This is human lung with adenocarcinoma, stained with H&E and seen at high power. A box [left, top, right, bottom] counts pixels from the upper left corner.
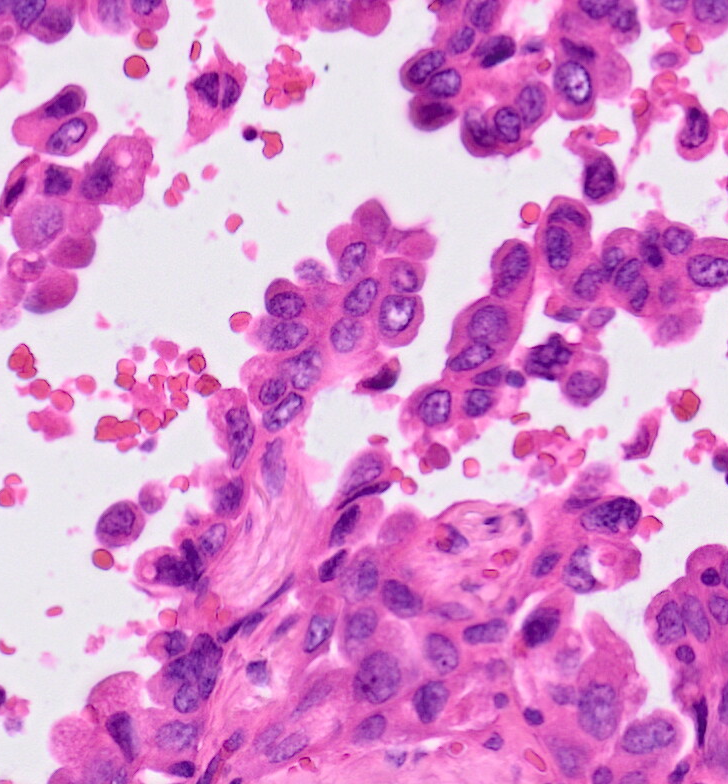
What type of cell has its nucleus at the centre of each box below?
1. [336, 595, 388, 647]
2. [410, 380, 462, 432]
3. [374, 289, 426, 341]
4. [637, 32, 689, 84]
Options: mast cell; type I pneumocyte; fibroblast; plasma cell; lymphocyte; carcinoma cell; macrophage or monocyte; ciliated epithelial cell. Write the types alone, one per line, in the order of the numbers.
carcinoma cell
carcinoma cell
carcinoma cell
macrophage or monocyte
